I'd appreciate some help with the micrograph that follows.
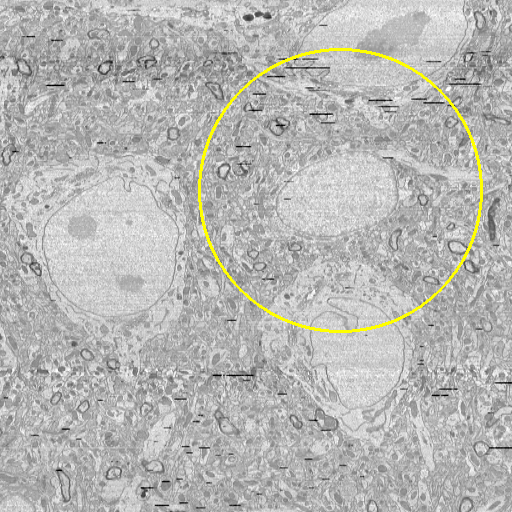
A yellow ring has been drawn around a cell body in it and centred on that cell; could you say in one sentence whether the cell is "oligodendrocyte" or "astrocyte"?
It is an astrocyte at the centre of the ring.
